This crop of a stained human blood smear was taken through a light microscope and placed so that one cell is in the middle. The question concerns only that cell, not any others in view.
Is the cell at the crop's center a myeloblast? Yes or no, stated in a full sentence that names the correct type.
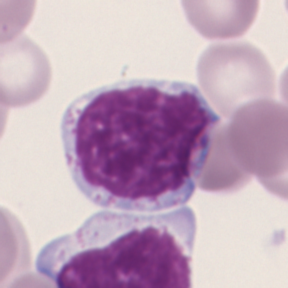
No, the cell in the middle is not a myeloblast but a large granular lymphocyte.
